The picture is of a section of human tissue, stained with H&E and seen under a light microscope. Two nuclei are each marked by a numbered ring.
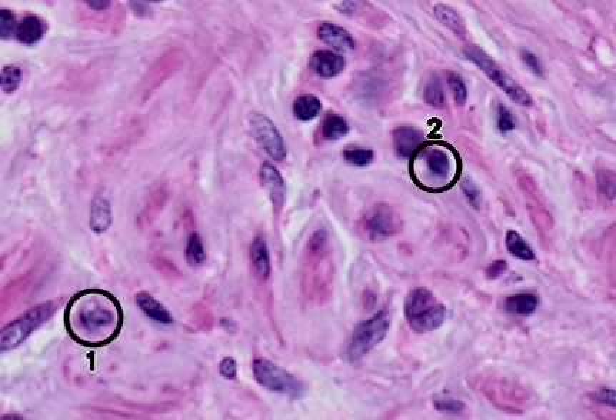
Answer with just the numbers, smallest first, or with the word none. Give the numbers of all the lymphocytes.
2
